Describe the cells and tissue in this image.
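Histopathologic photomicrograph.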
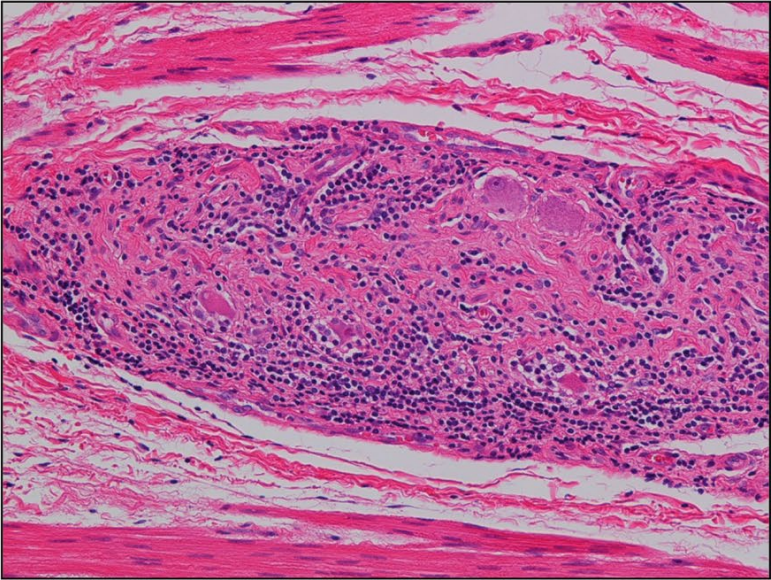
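An oval nerve plexus lies between smooth muscle bundles and is densely infiltrated by lymphocytes. The lymphocytes are small round cells with dark, dense nuclei and scant cytoplasm, and they are most crowded toward the edges of the nodule. Pink fibrous strands and elongated spindle-shaped nuclei run between the lymphocytes. Loose connective tissue and elongated smooth muscle cells with cigar-shaped nuclei surround the plexus above and below.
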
